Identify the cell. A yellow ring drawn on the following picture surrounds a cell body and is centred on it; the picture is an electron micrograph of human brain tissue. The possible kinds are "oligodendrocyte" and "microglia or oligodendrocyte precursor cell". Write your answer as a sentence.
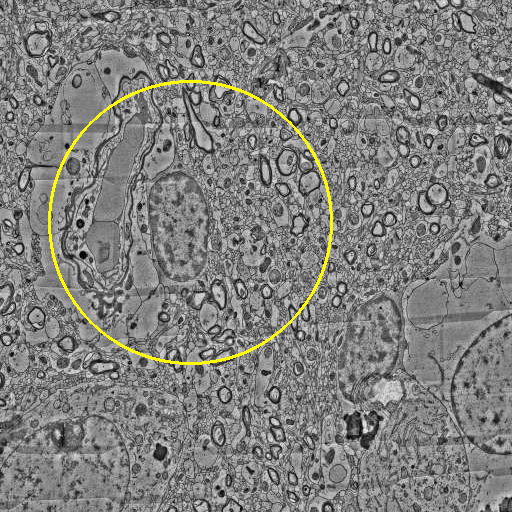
The cell identified by the ring is an oligodendrocyte.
